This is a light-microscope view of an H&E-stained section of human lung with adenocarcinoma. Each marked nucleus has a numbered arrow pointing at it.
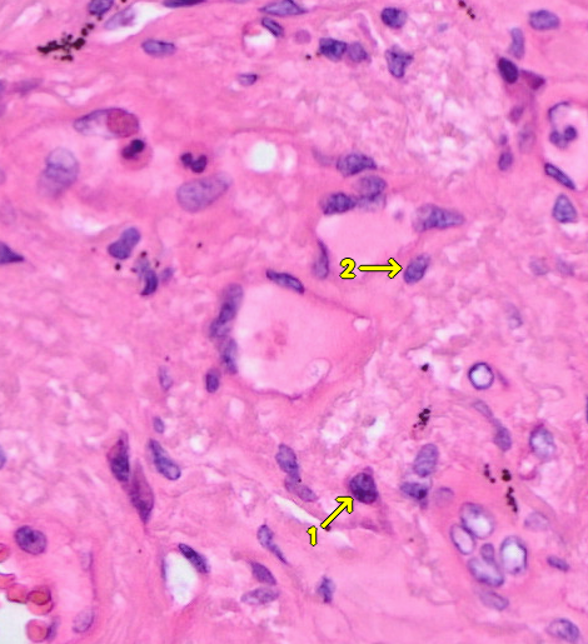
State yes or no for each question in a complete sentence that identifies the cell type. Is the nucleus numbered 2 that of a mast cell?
Yes, the cell with number 2 is a mast cell.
